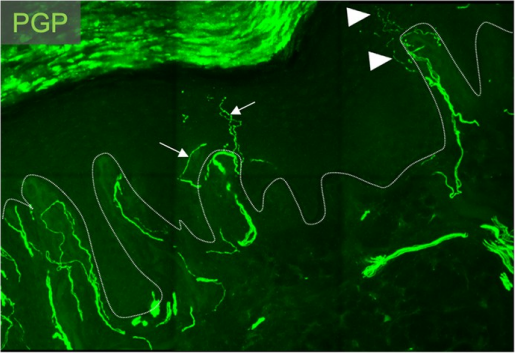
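Skin section in which green fluorescent nerve fibres are seen in the dermis and crossing into the epidermis. A wavy dotted line follows the dermal-epidermal border with deep papillary folds. Thick, bright fibre bundles run through the dermis below the line. Fine, beaded fibres branch off these bundles and climb into the epidermis above it.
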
